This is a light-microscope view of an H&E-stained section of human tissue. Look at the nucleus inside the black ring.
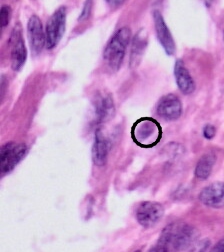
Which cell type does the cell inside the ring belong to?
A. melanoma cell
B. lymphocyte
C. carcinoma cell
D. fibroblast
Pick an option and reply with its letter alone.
A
